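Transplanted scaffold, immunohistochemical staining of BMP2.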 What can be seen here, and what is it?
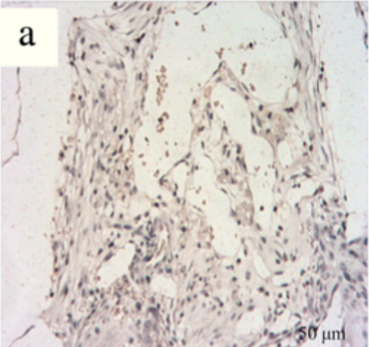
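The field shows loose, cell-rich tissue with many small dark nuclei scattered among pale strands. The cells are mostly elongated or oval and lie in bundles and loose sheets. Irregular clear spaces open within the tissue, some lined or crossed by thin strands of cells. Only faint, pale brown tint lies over parts of the tissue, with no dense matrix.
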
